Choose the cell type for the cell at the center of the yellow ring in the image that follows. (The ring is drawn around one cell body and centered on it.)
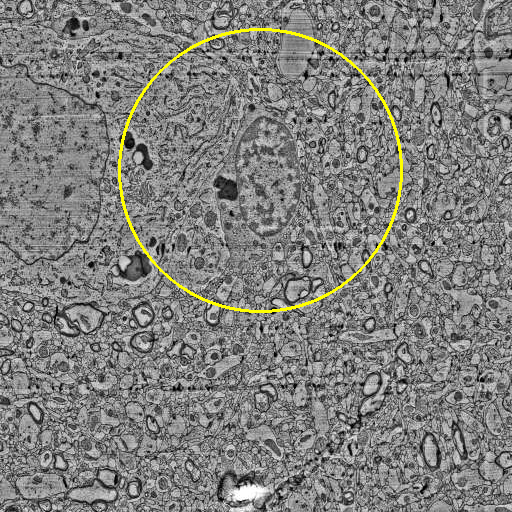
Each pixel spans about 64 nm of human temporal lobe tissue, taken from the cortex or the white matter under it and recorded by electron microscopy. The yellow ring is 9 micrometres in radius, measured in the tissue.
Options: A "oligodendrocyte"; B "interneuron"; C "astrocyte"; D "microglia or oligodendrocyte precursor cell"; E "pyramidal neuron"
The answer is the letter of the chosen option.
A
